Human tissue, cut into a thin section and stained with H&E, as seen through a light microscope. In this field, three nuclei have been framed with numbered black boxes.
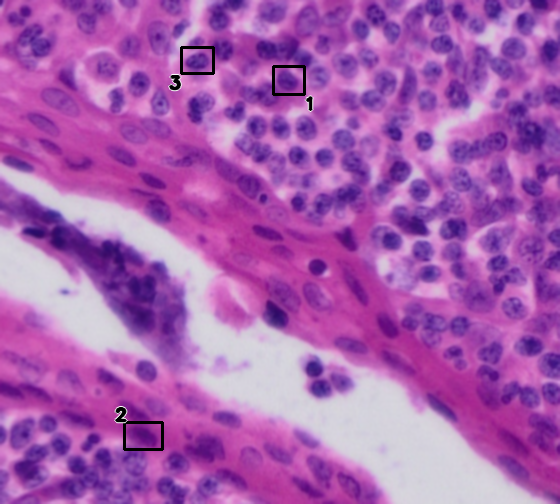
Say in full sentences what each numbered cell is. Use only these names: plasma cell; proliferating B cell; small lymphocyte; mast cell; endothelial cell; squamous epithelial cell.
Cell 1 is a plasma cell, cell 2 is a squamous epithelial cell and cell 3 is a plasma cell.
